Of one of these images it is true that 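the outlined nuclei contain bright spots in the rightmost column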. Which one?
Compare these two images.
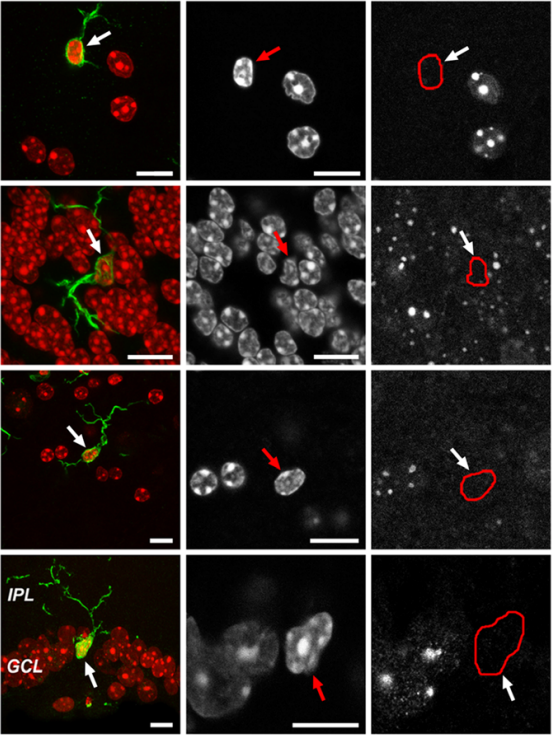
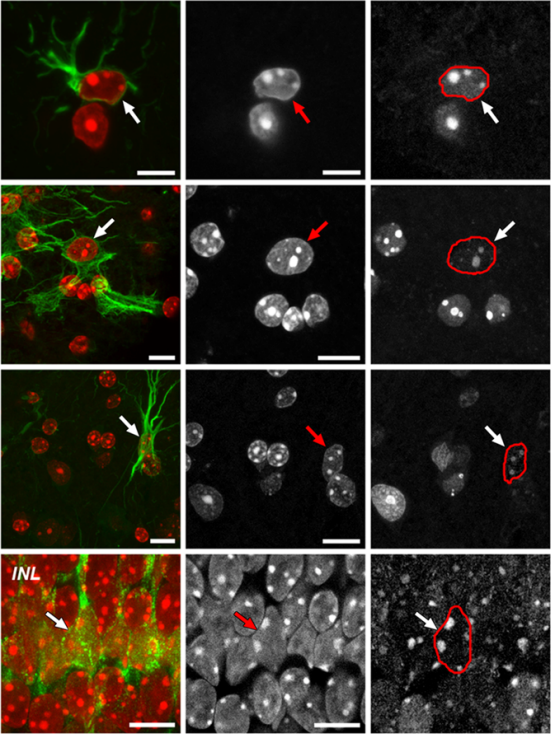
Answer: The second image.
